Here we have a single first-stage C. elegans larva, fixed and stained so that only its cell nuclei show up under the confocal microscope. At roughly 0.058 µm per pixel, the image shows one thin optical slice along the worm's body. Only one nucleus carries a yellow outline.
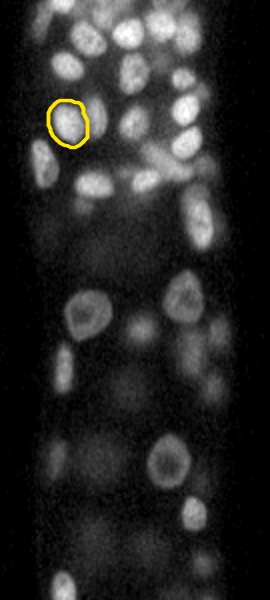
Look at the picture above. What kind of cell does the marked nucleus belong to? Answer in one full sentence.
It is the nucleus of a neuron.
